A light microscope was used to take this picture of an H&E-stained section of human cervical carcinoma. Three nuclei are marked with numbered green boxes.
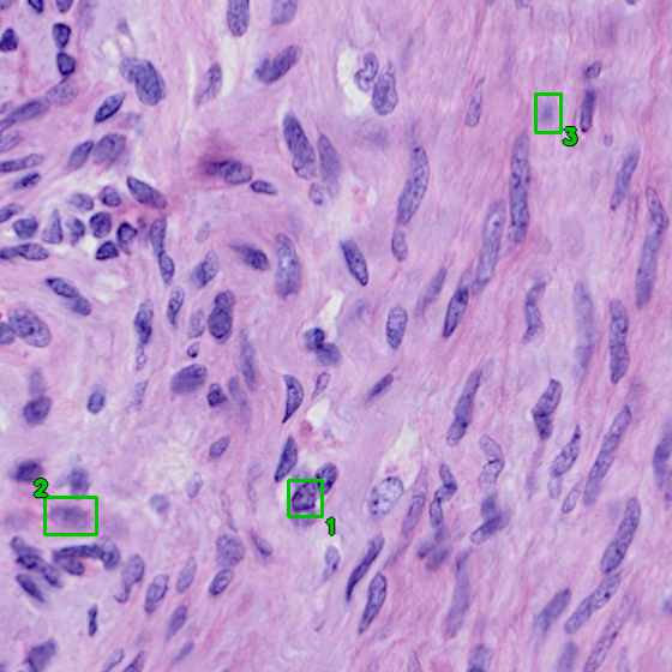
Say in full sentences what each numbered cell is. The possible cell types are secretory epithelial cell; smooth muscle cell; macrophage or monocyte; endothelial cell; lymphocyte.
Cells 1 and 2 are endothelial cells. Cell 3 is a smooth muscle cell.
